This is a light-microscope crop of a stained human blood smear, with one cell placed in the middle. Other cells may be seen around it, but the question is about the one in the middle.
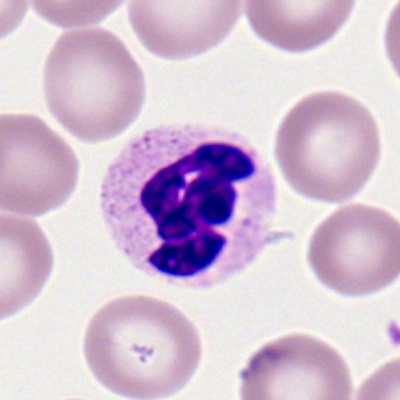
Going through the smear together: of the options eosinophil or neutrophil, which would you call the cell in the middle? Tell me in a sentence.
The single cell at the center of the crop is a neutrophil.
